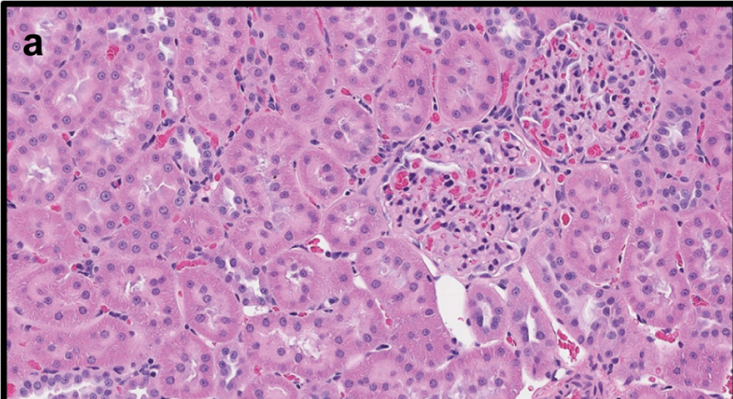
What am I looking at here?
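Closely packed tubules lined by cuboidal epithelium with pink cytoplasm and round central nuclei fill the field, with thin interstitium between them and two round glomeruli with red blood cells in their capillary loops. This is kidney cortex of normal architecture, with tubules and glomeruli lying side by side without widening of the spaces between them.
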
